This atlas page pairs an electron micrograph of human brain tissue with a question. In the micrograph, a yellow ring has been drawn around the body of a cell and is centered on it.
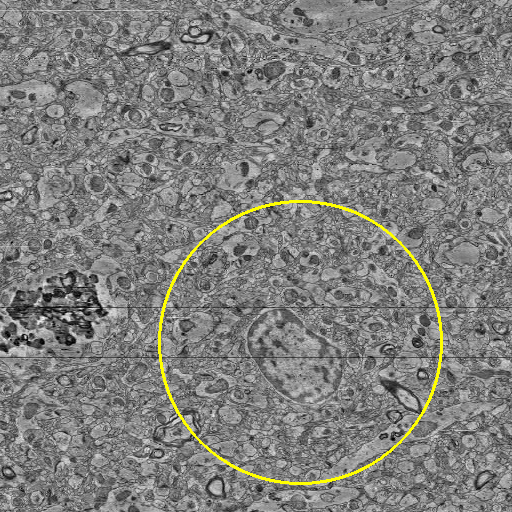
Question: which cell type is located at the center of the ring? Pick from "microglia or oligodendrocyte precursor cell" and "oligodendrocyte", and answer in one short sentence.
Located at the center of the ring is a microglial cell or oligodendrocyte precursor cell.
